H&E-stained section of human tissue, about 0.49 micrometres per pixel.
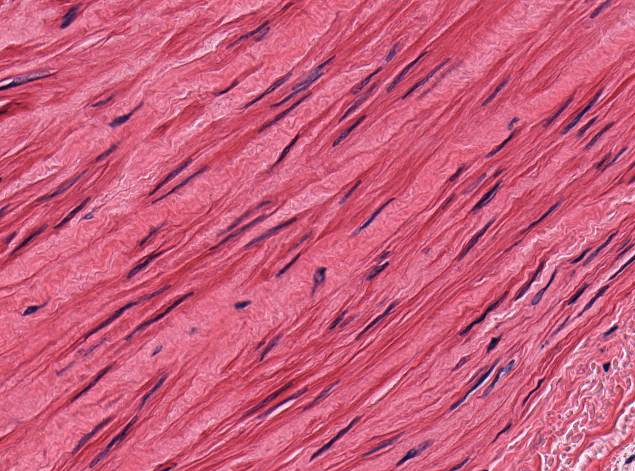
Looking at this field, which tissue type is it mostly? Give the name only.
tunica media of an artery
